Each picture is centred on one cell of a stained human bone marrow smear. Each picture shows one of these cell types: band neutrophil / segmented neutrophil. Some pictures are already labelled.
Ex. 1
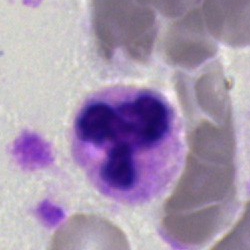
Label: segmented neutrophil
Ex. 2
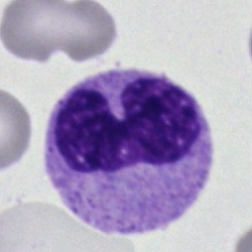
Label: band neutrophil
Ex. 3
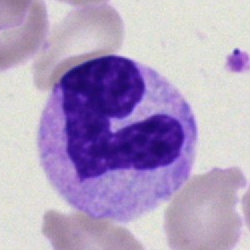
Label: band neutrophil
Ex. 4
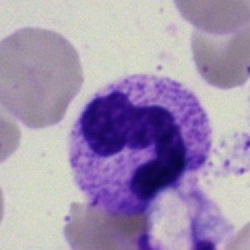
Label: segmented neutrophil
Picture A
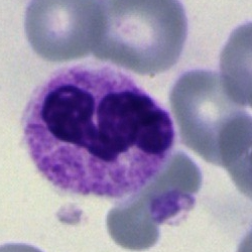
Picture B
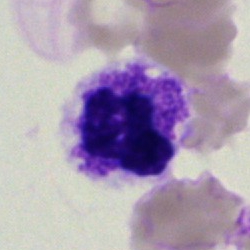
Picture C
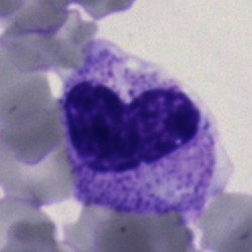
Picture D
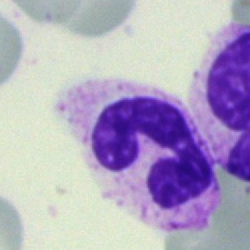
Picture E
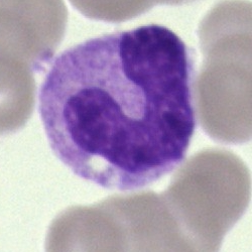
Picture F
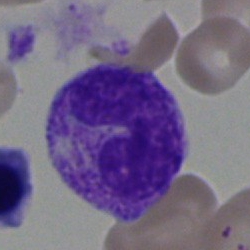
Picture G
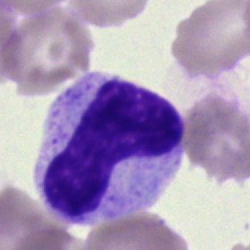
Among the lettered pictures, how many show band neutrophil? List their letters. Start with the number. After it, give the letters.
Count: 4 (C, E, F, G)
